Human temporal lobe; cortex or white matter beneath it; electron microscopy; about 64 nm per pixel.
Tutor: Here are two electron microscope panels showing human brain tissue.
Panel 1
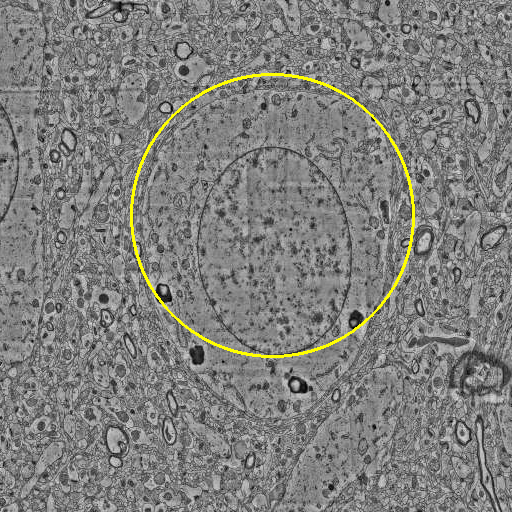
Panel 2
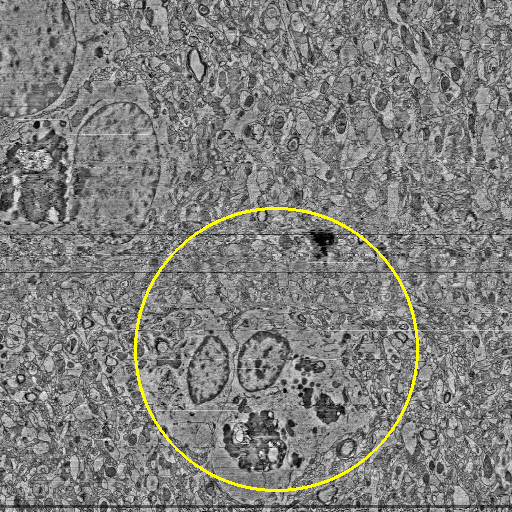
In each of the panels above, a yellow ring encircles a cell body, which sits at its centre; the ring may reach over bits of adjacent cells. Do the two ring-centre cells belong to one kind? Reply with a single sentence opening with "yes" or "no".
No, the two cells sitting at the ring centres in the panels belong to two kinds.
